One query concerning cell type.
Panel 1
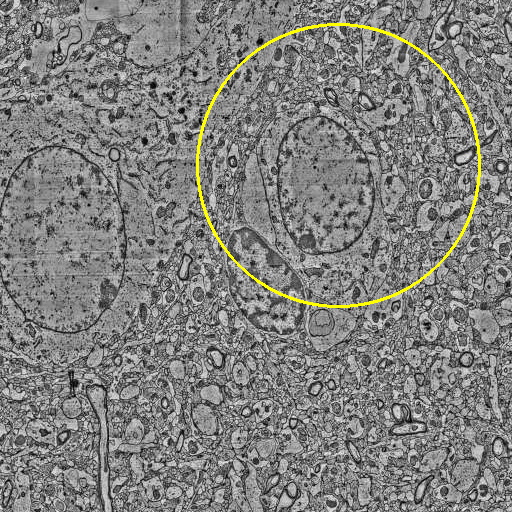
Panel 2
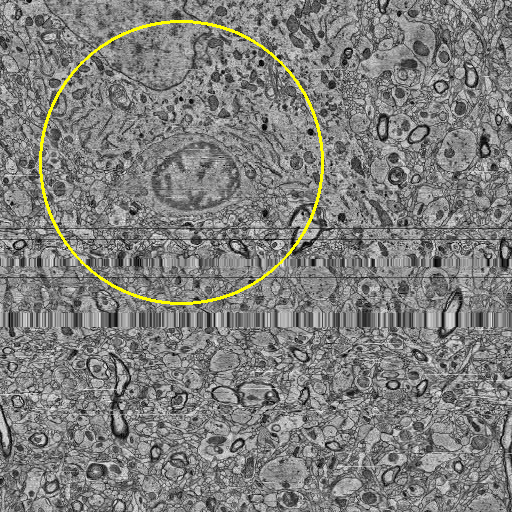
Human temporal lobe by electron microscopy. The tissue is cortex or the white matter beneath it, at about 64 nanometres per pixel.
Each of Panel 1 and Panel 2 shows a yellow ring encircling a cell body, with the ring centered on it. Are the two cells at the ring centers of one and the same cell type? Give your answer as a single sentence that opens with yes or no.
No, the cell centered in Panel 1 and the one in Panel 2 are of two types.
